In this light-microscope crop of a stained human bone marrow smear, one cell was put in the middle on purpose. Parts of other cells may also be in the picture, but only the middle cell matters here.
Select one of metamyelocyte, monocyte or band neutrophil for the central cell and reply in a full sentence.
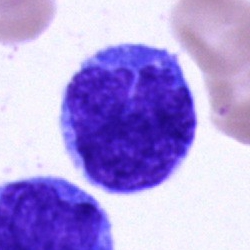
The cell in the middle of the field of view is a monocyte.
